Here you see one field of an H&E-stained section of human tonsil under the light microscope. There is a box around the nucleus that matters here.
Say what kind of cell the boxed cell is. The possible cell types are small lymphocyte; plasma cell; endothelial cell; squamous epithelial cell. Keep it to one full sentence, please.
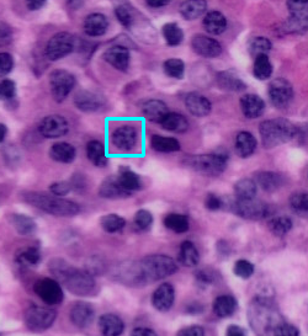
The correct response here is that the boxed cell is a plasma cell.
